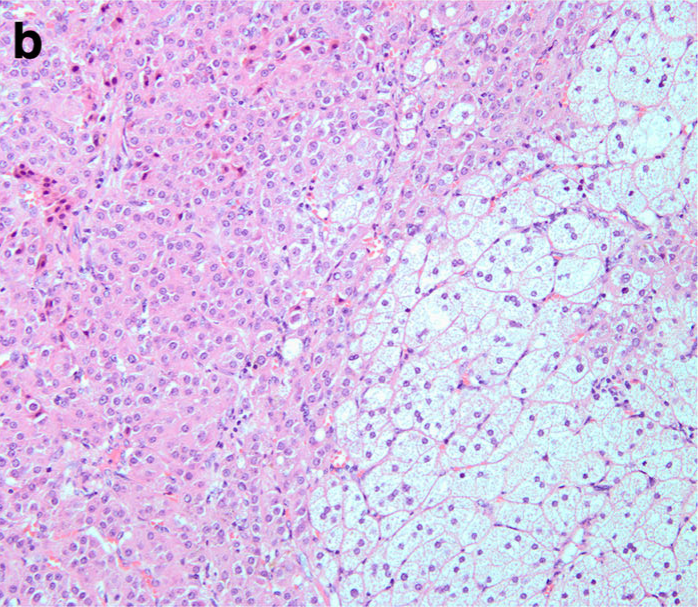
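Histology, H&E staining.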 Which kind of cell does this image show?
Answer: clear and acidophilic cells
